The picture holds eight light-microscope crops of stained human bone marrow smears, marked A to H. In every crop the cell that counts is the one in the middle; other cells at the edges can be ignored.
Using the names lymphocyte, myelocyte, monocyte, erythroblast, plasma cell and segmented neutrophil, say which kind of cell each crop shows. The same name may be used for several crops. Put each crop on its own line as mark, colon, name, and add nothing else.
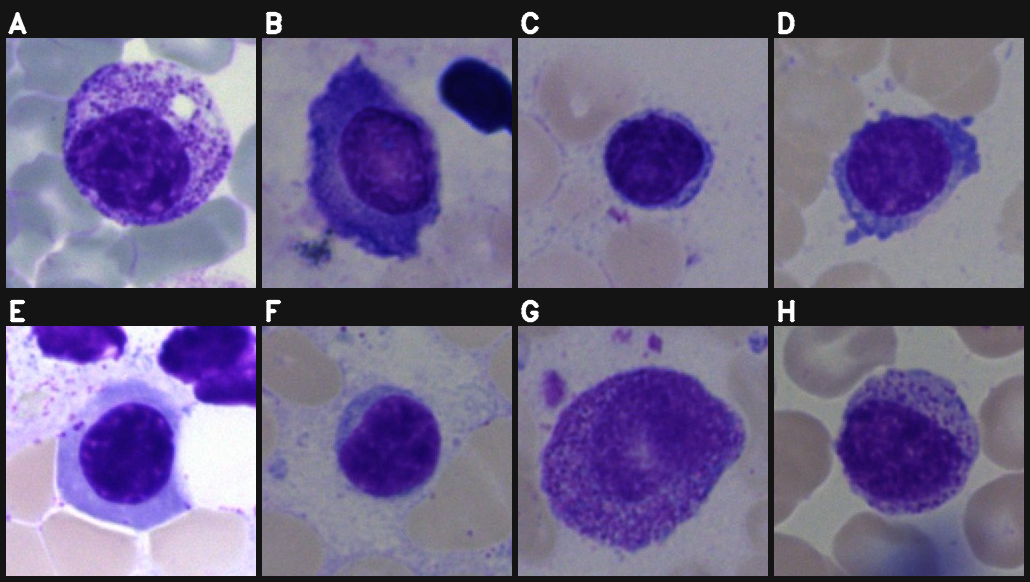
A: myelocyte
B: plasma cell
C: lymphocyte
D: plasma cell
E: erythroblast
F: lymphocyte
G: myelocyte
H: myelocyte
